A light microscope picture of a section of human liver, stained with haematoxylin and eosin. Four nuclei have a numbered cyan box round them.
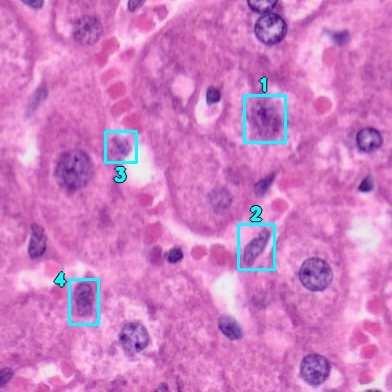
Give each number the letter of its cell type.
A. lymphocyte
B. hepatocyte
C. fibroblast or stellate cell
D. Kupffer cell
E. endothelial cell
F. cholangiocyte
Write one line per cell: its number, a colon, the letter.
1: B
2: D
3: E
4: D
